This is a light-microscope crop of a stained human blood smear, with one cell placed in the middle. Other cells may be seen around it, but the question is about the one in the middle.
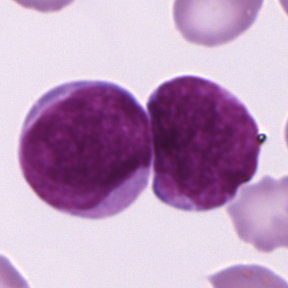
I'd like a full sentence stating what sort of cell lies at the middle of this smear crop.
The cell found in the middle of this crop is a blast.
